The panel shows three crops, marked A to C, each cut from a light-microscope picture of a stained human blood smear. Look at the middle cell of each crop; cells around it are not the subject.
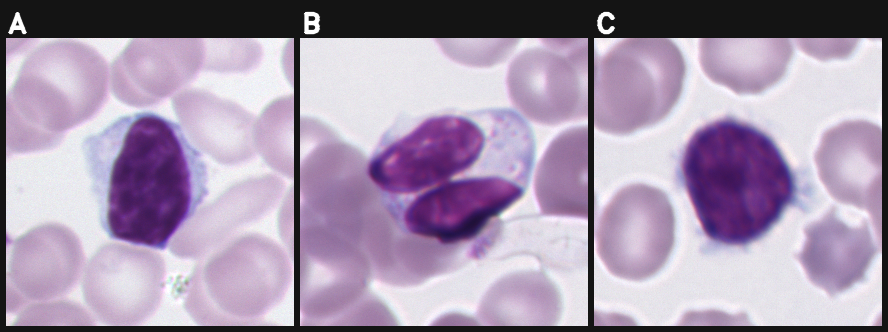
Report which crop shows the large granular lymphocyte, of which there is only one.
B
